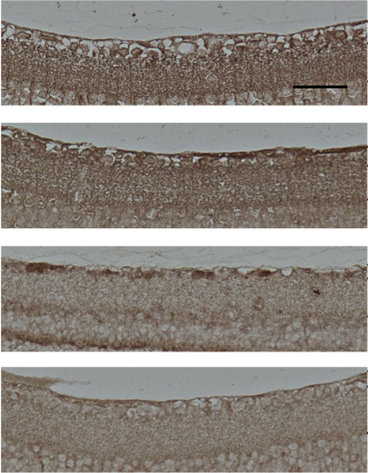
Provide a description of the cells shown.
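Four strips of the inner retina, each with a single row of rounded ganglion cell bodies along the inner surface. Beneath this row lies the broad inner plexiform layer, whose texture is finely granular to reticular. Deeper rows of densely packed cell bodies follow. Brown staining is strongest along the ganglion cell layer and in some bands within the plexiform layer.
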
